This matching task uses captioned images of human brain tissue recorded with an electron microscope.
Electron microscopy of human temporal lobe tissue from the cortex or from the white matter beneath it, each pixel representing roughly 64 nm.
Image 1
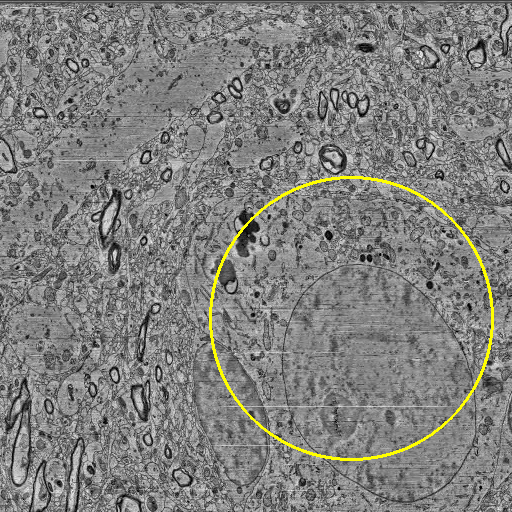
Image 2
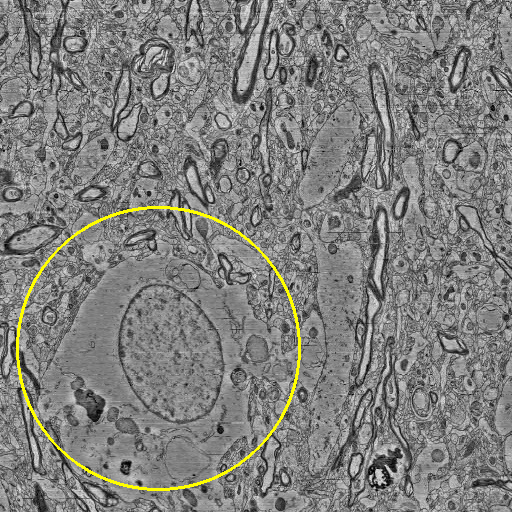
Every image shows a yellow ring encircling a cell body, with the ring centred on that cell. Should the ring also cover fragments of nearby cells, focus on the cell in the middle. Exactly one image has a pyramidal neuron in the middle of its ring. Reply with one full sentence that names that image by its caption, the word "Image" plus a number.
Image 1 shows the cell in question at the centre of its yellow ring.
